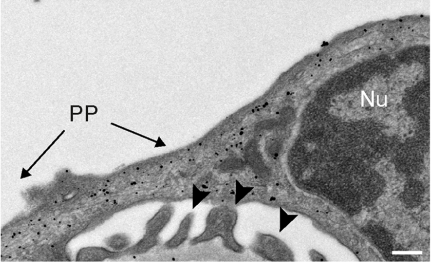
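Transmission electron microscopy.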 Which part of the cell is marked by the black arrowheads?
Foot processes.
